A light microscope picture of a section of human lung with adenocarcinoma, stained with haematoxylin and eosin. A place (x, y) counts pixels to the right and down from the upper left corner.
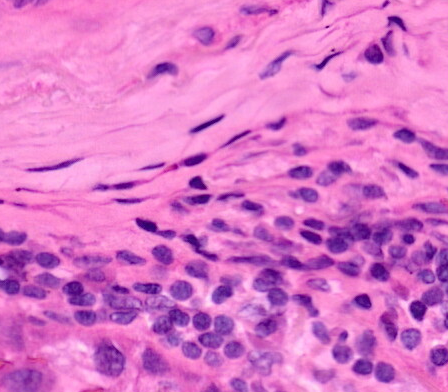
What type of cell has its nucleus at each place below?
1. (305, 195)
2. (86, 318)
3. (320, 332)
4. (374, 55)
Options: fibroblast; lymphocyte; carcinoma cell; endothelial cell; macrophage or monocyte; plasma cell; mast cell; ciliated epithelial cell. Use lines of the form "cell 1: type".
cell 1: lymphocyte
cell 2: lymphocyte
cell 3: lymphocyte
cell 4: plasma cell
